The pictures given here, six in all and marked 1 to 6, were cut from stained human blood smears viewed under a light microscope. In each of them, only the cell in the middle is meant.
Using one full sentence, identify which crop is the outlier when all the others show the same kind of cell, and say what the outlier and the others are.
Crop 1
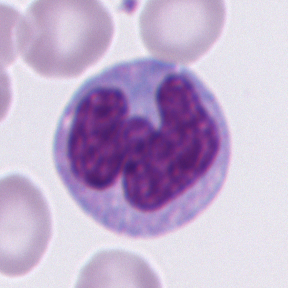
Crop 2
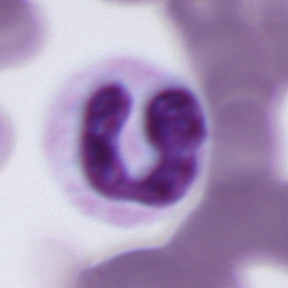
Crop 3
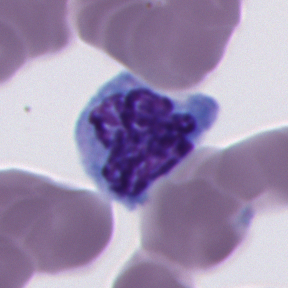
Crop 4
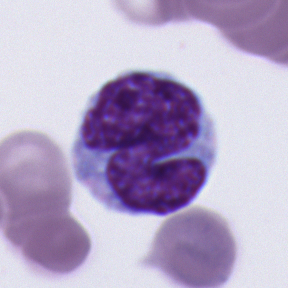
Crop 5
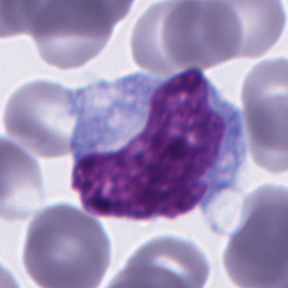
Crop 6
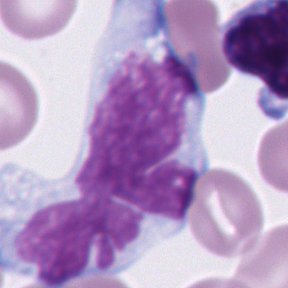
Crop 2 is different, showing a segmented neutrophil, whereas all the others show monocytes.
